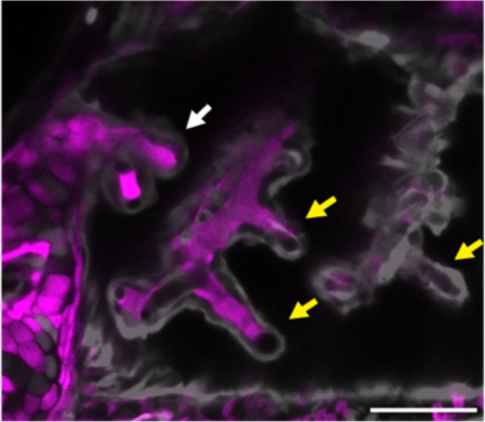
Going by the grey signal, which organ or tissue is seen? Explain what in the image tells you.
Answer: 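Epithelia. A thin grey layer outlines the surface of each bud. The grey layer wraps around the magenta core.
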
